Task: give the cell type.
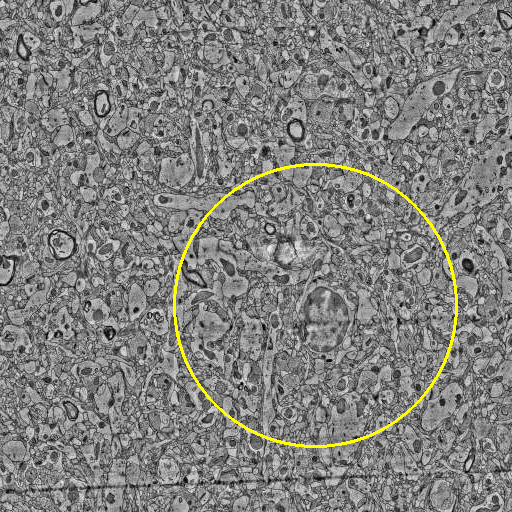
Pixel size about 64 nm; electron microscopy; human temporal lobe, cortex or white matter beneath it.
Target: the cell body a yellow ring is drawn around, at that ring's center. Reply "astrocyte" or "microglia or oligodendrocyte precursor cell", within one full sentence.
In this picture, the cell whose body lies at the ring's center is a microglial cell or oligodendrocyte precursor cell.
